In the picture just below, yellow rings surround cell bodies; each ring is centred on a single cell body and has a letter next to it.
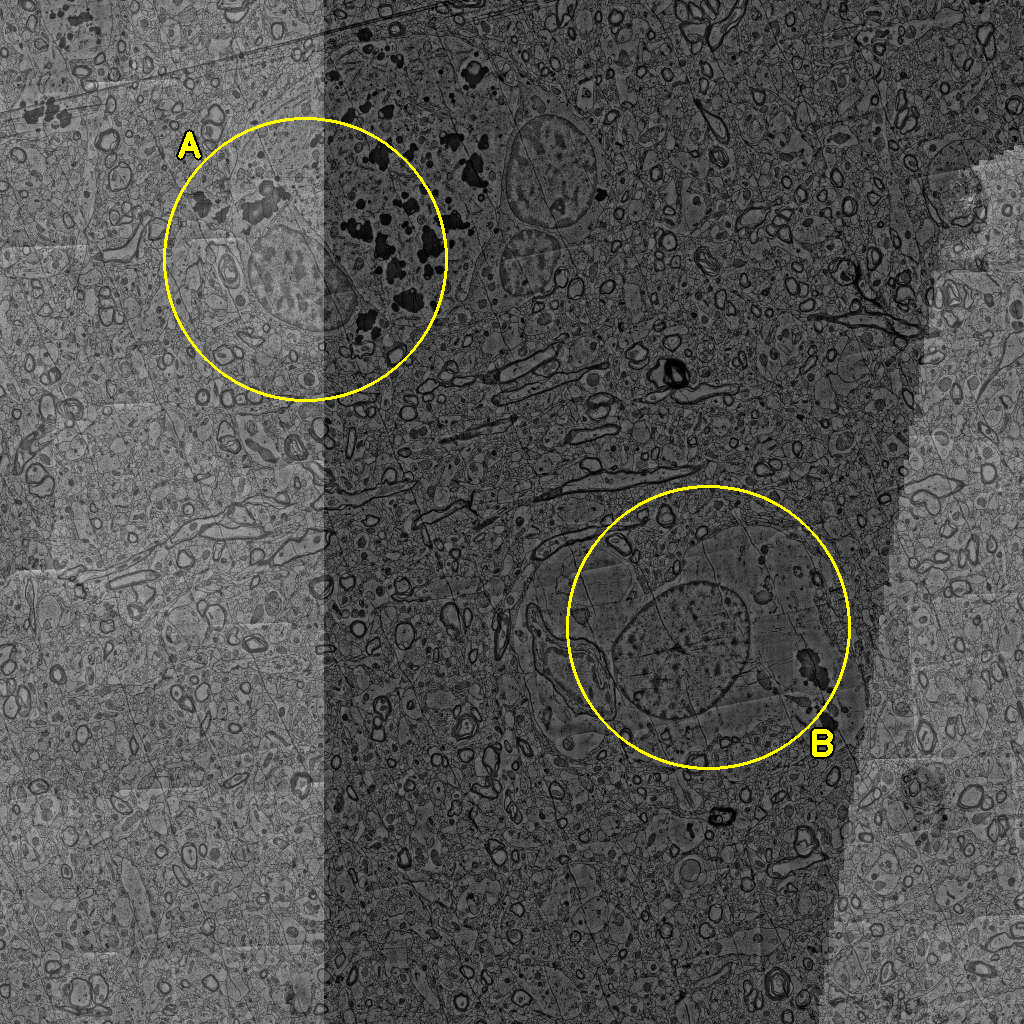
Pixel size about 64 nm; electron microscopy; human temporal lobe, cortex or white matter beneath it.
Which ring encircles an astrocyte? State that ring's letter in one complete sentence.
The letter B marks the ring centred on the cell asked for in the picture.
